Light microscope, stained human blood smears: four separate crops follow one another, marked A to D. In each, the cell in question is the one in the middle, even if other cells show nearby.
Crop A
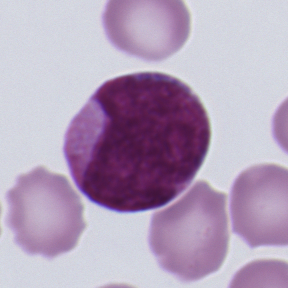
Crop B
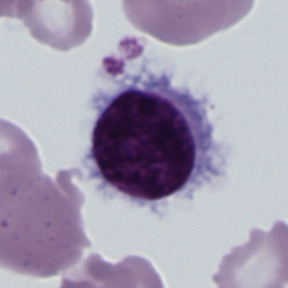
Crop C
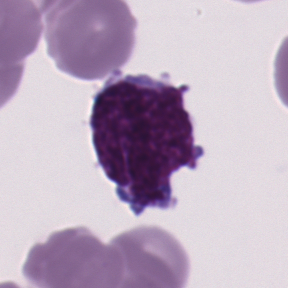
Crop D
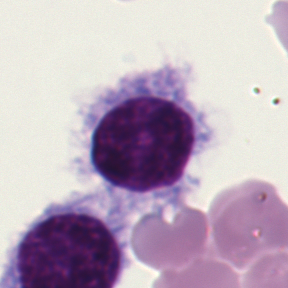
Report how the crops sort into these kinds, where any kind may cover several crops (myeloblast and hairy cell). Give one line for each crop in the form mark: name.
A: myeloblast
B: hairy cell
C: myeloblast
D: hairy cell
